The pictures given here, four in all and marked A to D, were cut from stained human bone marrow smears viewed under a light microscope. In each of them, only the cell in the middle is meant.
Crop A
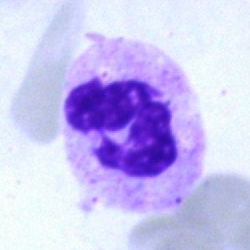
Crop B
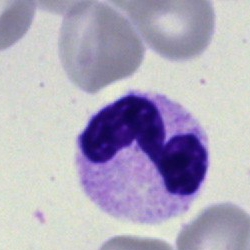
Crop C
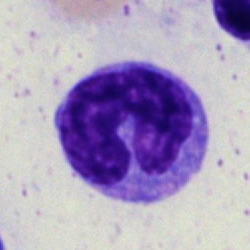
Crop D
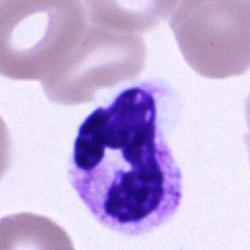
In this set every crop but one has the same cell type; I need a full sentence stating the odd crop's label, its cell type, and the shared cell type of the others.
As the exception to the segmented neutrophils in the other crops, crop C shows a monocyte.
